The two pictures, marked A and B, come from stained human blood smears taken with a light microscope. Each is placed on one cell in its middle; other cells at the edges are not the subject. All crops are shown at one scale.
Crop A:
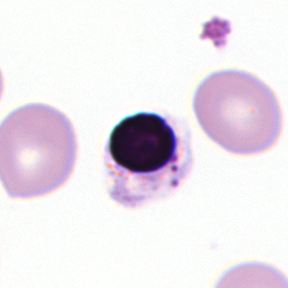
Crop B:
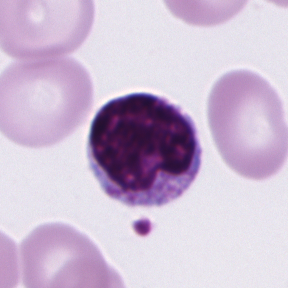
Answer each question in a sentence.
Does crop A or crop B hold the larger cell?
Larger is the cell in crop B, at roughly 1.5 times the area of the other.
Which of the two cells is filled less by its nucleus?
The nucleus fills less of the cell in crop A than in crop B.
